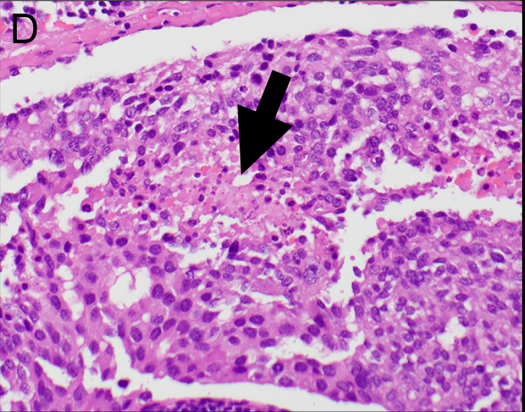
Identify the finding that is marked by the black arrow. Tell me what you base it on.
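Necrosis. The arrow points to a pale pink, granular area among the tumour cells. Few intact nuclei lie in the marked area, which holds scattered nuclear debris.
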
